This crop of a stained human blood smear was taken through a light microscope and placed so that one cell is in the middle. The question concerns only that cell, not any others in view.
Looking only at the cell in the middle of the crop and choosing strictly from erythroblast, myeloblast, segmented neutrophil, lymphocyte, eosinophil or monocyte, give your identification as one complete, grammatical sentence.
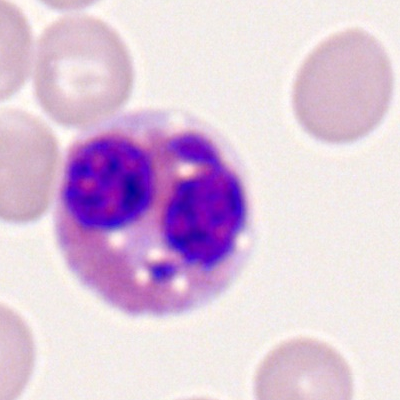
Positioned in the middle of the crop is an eosinophil.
